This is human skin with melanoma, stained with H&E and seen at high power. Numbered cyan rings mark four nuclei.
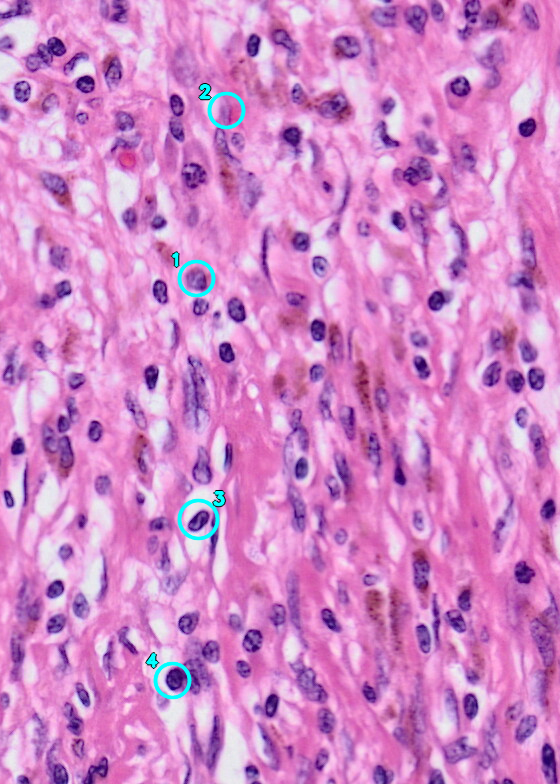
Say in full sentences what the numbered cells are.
Cell 1 is a macrophage or monocyte. Cell 2 is an endothelial cell. Cells 3 and 4 are lymphocytes.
